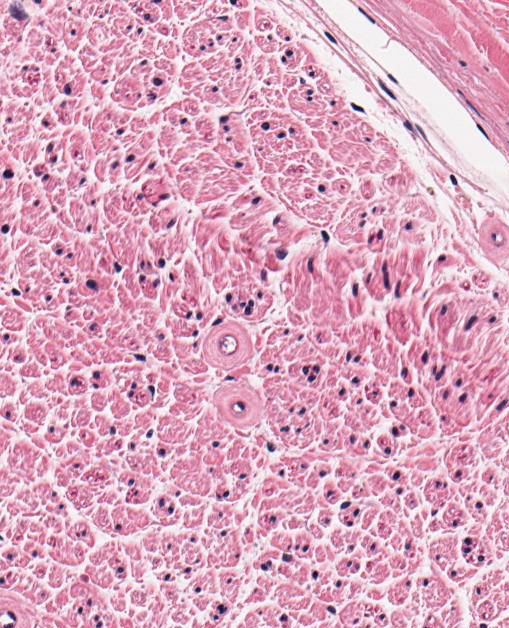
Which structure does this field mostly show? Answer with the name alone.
nerve fascicle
